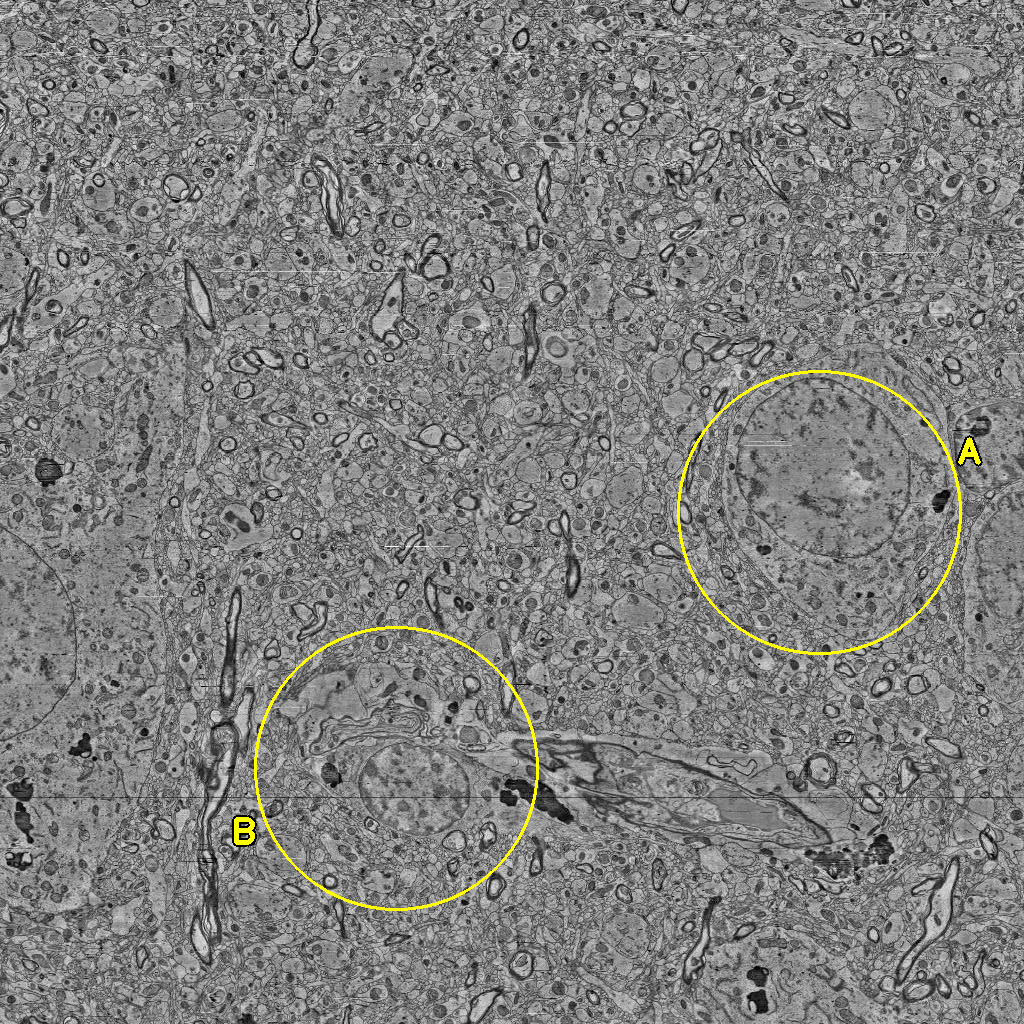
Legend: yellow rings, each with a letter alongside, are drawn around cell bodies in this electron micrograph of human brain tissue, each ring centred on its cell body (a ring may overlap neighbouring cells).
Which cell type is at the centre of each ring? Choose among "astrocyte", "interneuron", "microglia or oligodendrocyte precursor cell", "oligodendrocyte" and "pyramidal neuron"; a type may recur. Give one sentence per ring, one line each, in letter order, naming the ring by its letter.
Ring A has a pyramidal neuron at its centre.
Ring B has an oligodendrocyte at its centre.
